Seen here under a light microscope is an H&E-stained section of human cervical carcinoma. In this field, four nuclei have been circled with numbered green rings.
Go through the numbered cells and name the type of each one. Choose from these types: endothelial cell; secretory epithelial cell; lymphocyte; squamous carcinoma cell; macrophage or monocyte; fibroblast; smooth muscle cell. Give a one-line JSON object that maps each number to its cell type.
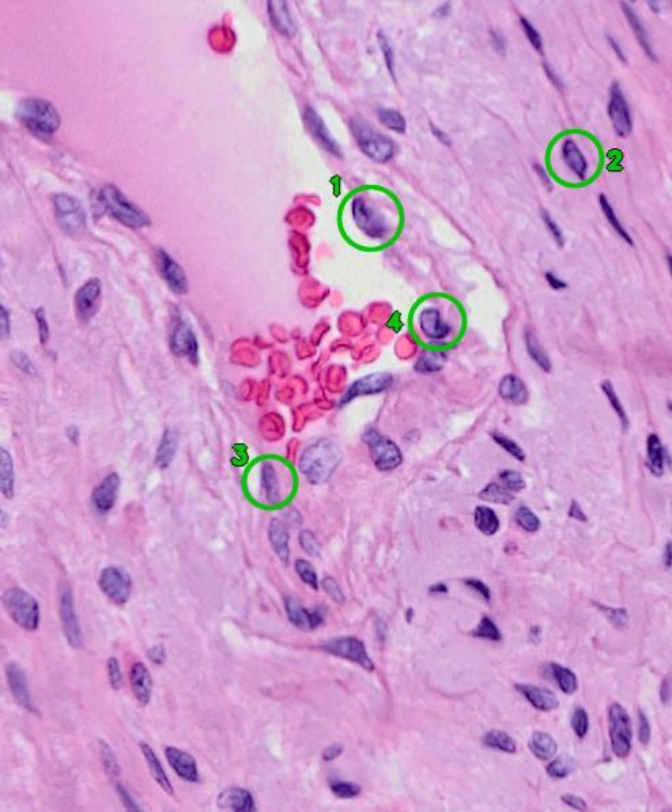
{"1": "endothelial cell", "2": "fibroblast", "3": "endothelial cell", "4": "endothelial cell"}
